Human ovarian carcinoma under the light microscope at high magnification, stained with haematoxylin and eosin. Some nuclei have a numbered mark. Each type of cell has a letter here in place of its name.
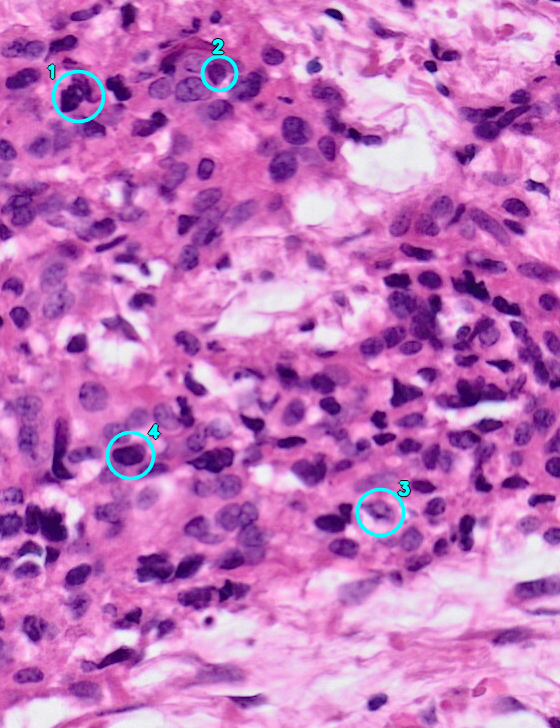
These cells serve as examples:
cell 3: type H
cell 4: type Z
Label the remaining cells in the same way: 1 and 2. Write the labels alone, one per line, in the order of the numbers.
type Z
type Z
